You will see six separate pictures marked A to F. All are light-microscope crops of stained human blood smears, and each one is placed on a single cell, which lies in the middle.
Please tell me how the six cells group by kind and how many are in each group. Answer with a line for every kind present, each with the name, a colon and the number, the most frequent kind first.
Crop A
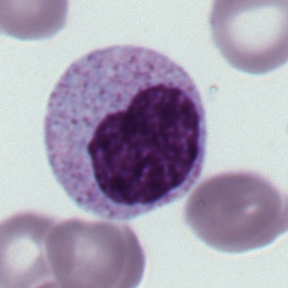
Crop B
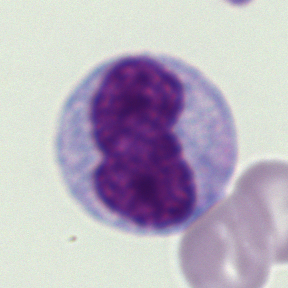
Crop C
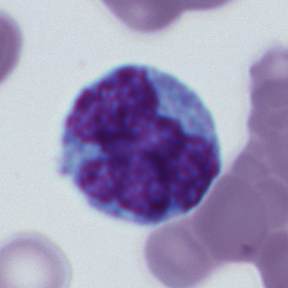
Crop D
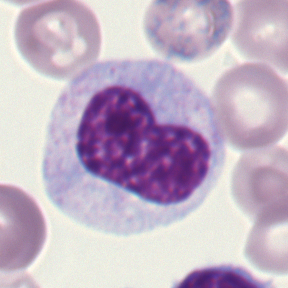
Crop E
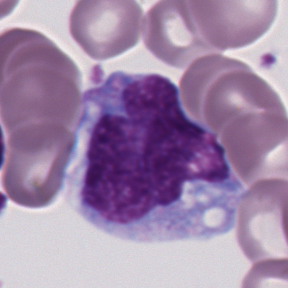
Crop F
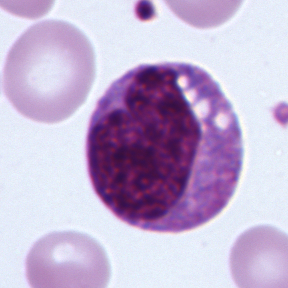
monocyte: 4
metamyelocyte: 2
